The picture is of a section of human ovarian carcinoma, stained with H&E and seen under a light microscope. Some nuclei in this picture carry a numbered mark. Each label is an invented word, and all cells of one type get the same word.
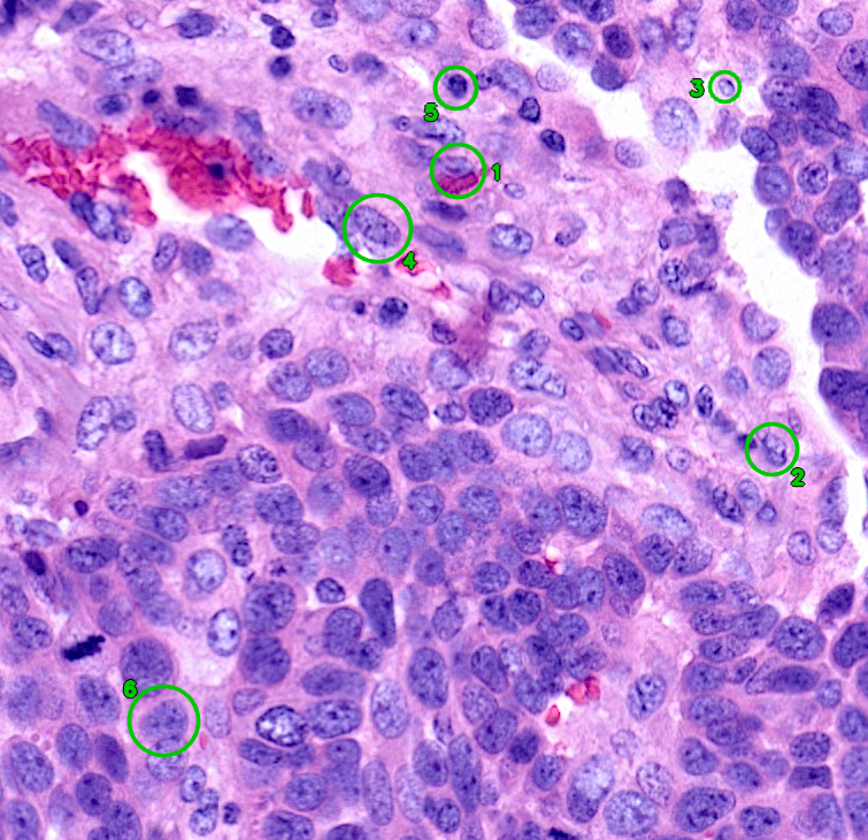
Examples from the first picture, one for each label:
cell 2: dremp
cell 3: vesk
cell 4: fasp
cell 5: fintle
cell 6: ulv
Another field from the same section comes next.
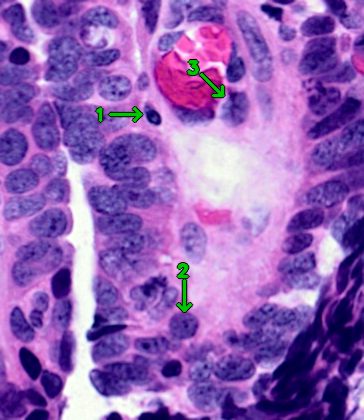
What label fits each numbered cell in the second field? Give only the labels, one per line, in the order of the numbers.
fintle
ulv
fasp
